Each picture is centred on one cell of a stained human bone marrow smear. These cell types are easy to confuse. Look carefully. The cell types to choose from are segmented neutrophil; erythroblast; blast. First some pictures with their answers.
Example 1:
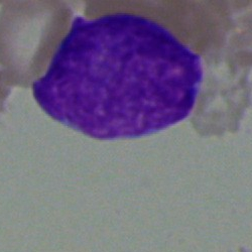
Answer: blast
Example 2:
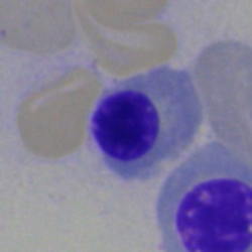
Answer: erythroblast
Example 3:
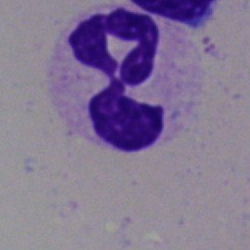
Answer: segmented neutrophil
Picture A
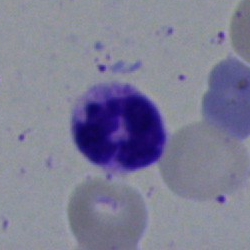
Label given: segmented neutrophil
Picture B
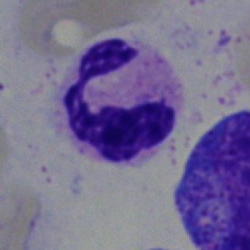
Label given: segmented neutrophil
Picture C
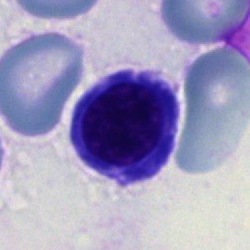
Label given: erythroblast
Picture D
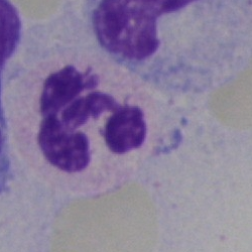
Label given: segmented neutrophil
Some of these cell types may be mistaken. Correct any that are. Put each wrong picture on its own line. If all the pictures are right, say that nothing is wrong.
Every label is right.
